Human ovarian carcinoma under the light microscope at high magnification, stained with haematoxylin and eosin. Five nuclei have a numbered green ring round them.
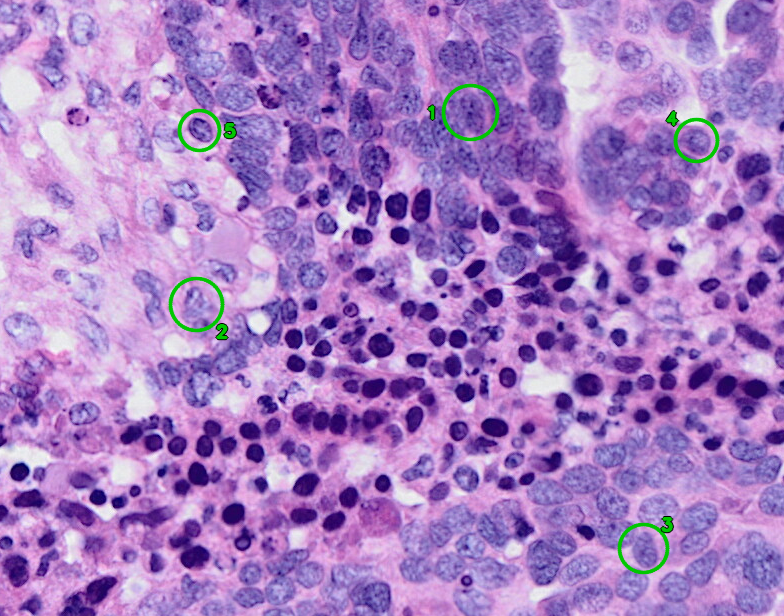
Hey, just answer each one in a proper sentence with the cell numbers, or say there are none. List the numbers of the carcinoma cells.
Identified as carcinoma cells are the cells numbered 1, 3 and 4.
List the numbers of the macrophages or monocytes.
Only nucleus 5 belongs to a macrophage or monocyte; the other numbered nuclei do not.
